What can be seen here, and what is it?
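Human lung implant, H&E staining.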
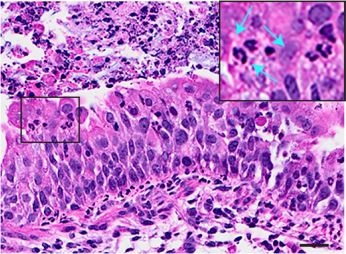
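This is airway epithelium seen at higher magnification, a tall layer of columnar cells with oval purple nuclei and pink cytoplasm. Above it lies a region crowded with small cells with dark, compact nuclei. Within the epithelial layer itself, small cells with dark, lobed nuclei sit between the larger epithelial cells. Scattered bright pink round bodies are present near the epithelial surface.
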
